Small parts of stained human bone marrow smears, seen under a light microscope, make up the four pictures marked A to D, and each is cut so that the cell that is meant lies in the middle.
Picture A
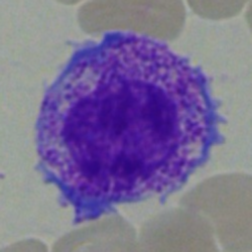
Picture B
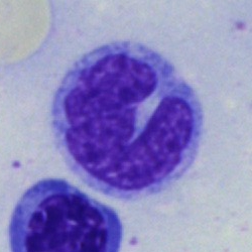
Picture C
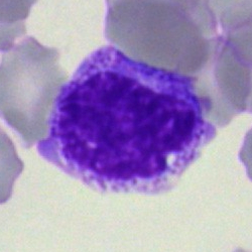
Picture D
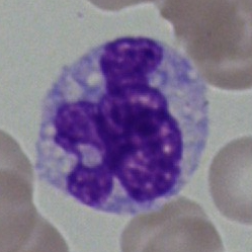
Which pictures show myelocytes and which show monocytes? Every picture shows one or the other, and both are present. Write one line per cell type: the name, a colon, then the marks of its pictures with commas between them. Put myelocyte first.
myelocyte: A, C
monocyte: B, D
